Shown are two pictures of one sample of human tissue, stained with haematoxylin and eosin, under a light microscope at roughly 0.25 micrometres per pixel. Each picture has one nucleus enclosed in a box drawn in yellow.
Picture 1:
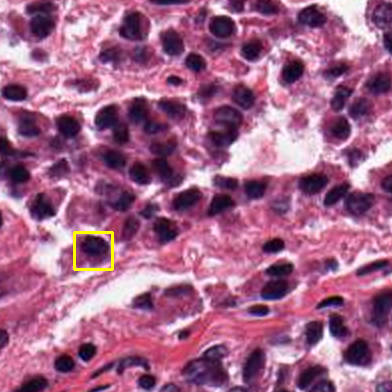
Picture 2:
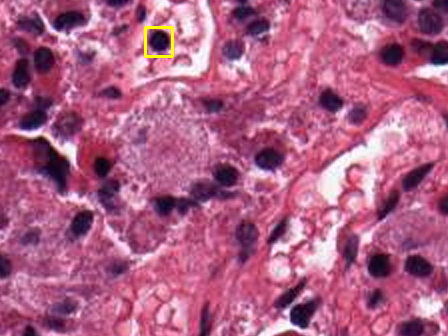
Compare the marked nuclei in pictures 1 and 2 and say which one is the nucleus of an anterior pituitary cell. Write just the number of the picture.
1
